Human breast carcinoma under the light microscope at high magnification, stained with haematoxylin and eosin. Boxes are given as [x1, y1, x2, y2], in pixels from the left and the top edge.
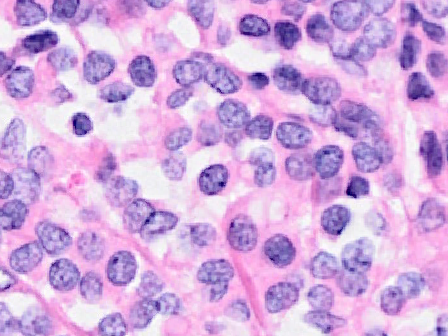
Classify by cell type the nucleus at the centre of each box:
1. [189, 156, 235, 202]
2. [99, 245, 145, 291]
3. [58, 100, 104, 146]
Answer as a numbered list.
1. carcinoma cell
2. carcinoma cell
3. lymphocyte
